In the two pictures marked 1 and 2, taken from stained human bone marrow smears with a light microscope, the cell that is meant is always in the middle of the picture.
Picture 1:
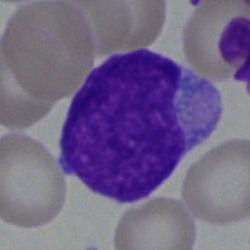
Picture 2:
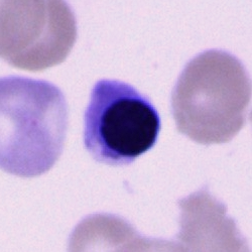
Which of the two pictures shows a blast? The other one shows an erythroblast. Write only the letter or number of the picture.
1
